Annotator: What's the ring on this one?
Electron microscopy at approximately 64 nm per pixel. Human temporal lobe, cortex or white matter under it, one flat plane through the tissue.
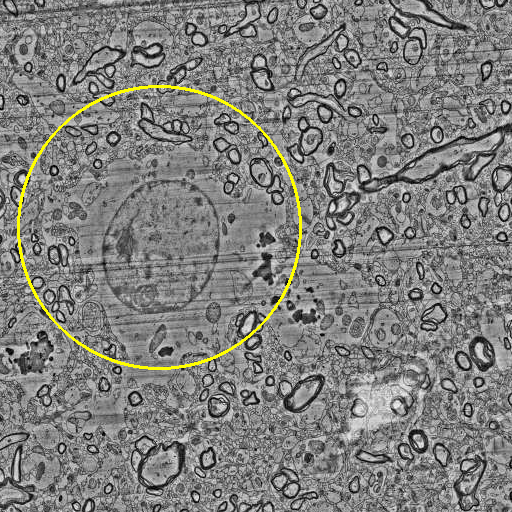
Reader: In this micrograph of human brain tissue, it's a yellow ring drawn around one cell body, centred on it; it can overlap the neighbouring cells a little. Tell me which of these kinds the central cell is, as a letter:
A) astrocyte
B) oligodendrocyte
A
